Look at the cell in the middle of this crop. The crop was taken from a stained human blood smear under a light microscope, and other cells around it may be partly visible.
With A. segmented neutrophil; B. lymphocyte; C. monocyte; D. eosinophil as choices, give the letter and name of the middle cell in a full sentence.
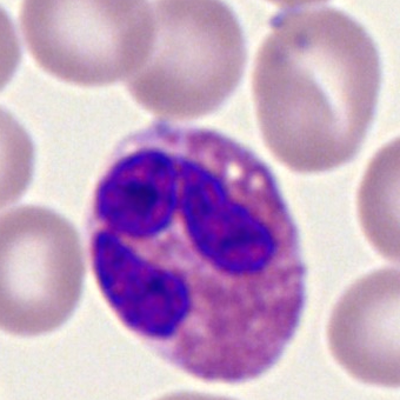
Option D is accurate; the centrally placed cell is an eosinophil.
